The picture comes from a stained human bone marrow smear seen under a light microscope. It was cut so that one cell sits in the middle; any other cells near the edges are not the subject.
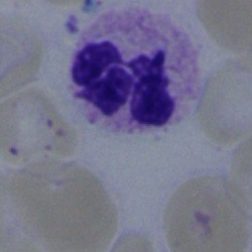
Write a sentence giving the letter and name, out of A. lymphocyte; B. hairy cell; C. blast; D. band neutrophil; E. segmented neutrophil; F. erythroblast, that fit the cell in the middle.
The central cell of the crop is a segmented neutrophil, which makes E the correct option.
